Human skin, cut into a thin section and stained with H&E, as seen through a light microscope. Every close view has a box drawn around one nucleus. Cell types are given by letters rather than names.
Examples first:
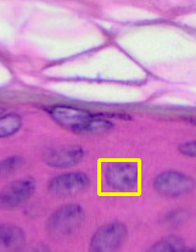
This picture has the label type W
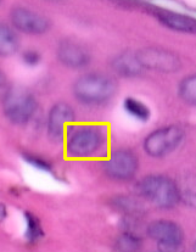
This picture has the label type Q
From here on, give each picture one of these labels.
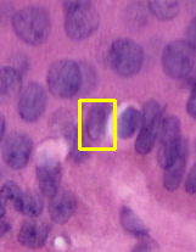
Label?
type Q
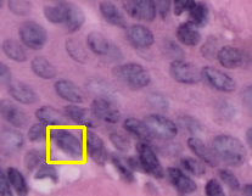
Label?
type Q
